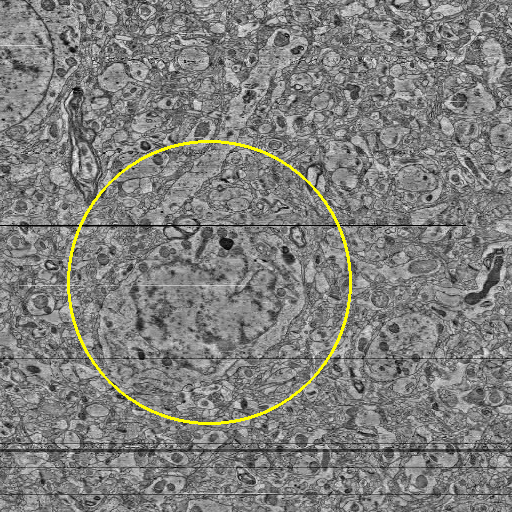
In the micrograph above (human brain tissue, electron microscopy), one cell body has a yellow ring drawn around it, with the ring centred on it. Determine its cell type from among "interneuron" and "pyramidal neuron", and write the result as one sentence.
The cell whose body is ringed is an interneuron.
